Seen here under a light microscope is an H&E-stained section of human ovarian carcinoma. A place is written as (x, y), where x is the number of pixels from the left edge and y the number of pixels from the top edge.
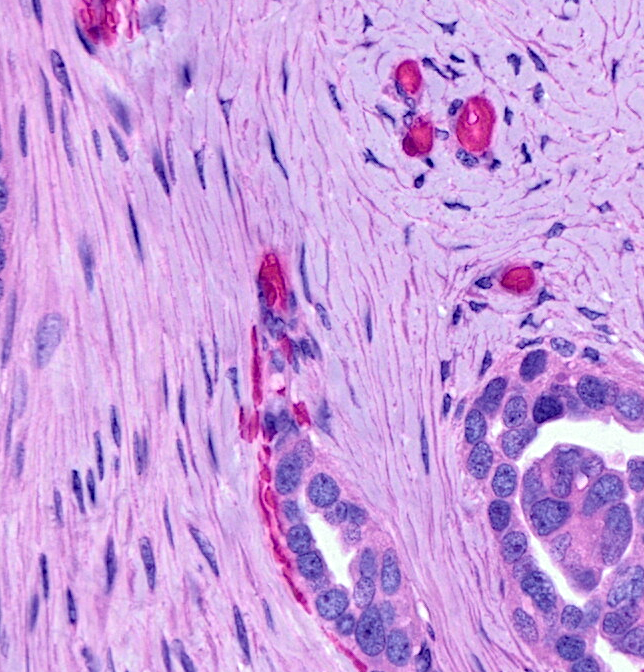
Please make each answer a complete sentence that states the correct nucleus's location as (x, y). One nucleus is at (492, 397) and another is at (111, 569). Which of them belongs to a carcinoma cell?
The nucleus that belongs to a carcinoma cell sits at (492, 397).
